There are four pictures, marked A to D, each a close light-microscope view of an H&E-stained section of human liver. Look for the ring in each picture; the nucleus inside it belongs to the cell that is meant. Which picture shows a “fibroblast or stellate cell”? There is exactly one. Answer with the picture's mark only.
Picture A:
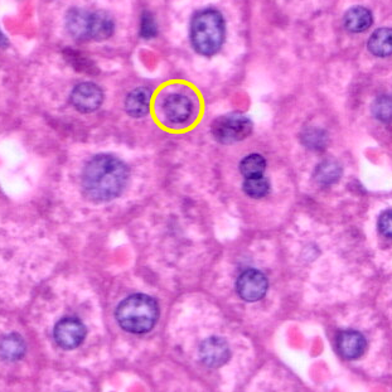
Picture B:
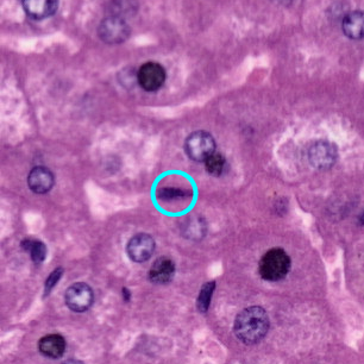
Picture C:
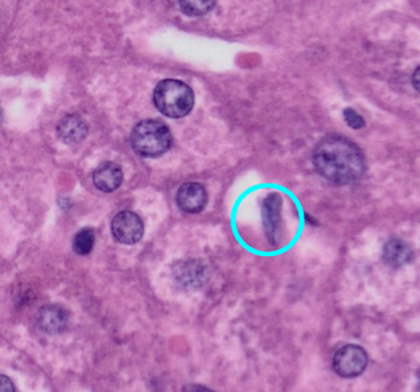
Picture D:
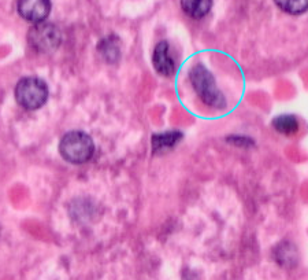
B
